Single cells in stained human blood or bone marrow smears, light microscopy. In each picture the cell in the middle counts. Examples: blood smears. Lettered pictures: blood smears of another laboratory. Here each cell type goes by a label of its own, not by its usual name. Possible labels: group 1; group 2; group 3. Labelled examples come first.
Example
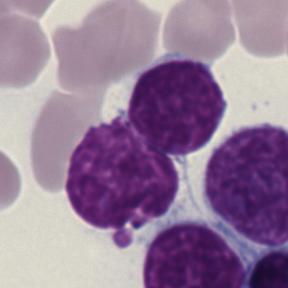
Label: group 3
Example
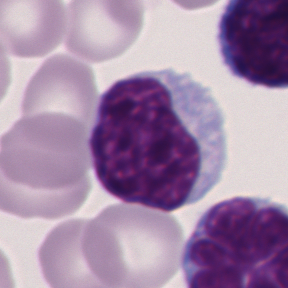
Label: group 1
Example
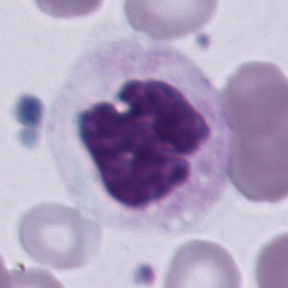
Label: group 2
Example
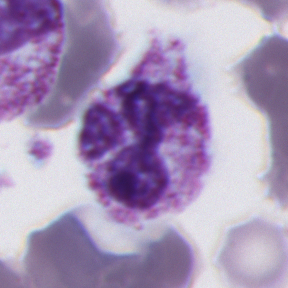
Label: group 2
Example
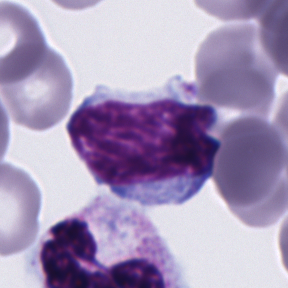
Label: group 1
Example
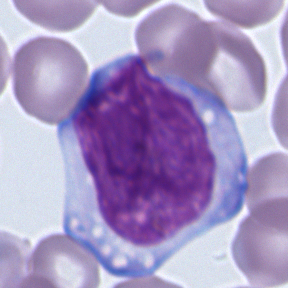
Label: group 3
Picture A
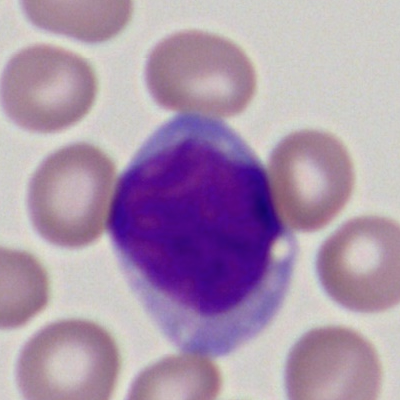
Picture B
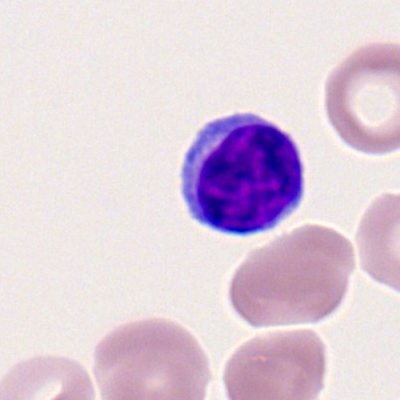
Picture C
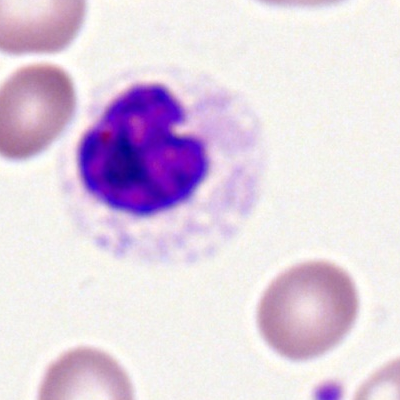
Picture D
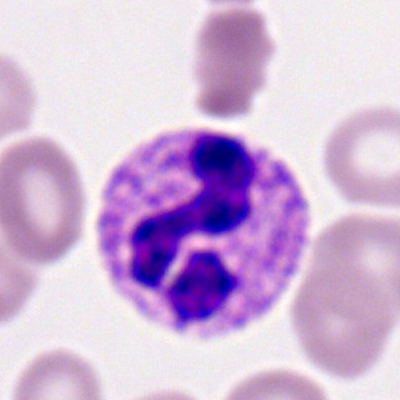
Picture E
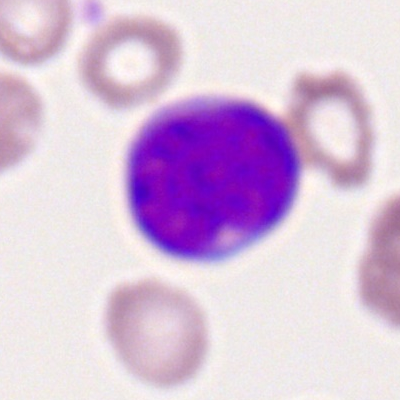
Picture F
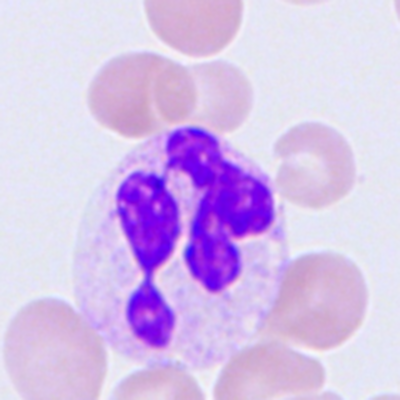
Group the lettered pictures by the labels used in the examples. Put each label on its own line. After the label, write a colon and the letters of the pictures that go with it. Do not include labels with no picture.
group 1: B
group 2: C, D, F
group 3: A, E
